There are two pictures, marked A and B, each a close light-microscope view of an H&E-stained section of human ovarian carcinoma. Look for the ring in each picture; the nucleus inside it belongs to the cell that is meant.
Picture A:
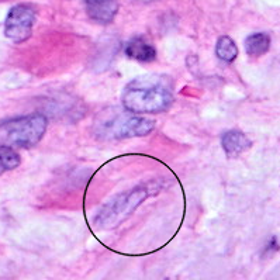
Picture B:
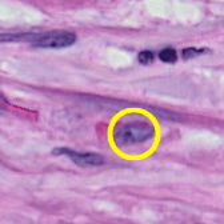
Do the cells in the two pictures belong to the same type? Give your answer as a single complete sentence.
No, they differ: the cell is a fibroblast in picture A and an endothelial cell in picture B.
